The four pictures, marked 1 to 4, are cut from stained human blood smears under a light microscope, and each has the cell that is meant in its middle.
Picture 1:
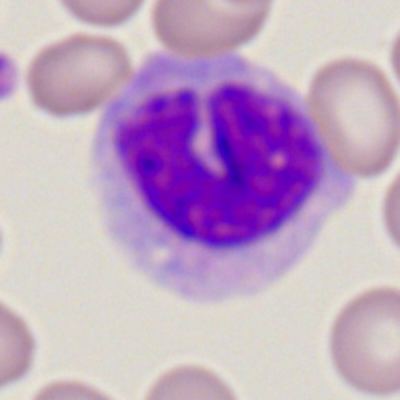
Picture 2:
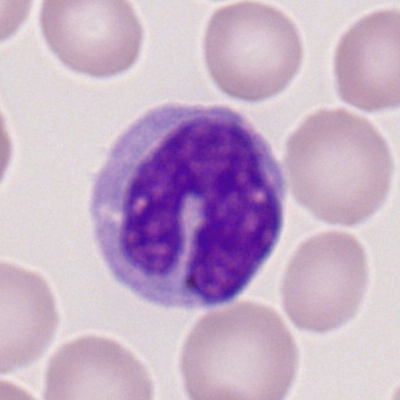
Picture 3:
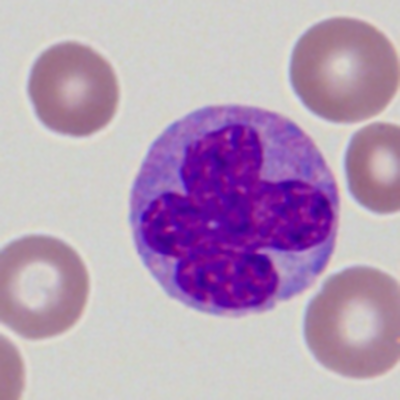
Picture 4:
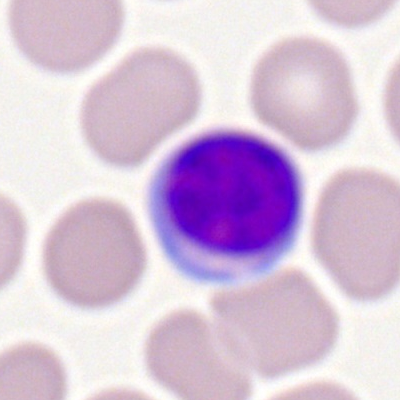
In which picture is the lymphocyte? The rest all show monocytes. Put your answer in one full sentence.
Picture 4 is the one that shows the lymphocyte.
